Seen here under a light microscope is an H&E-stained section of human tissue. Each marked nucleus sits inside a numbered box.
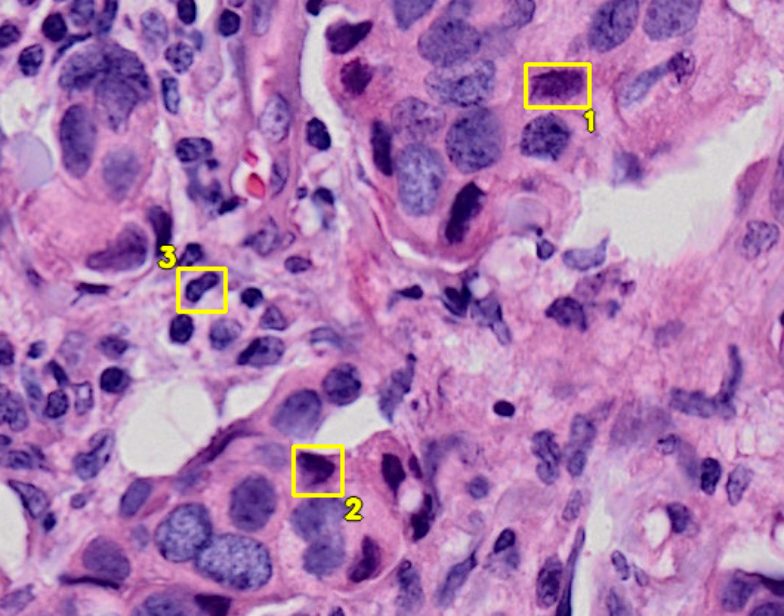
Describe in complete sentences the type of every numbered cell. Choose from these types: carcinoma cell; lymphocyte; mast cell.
Cells 1 and 2 are carcinoma cells. Cell 3 is a lymphocyte.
